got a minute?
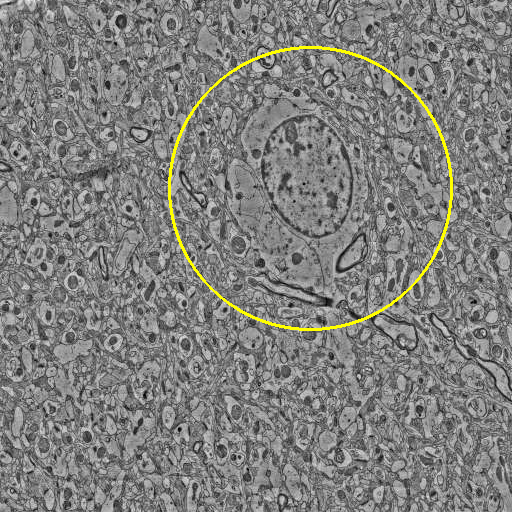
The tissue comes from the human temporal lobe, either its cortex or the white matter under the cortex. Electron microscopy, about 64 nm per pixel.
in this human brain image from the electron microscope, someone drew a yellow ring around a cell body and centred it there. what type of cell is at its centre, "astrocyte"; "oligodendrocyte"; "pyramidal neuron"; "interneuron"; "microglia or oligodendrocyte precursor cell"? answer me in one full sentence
It's an astrocyte at the middle of that yellow ring in the shot.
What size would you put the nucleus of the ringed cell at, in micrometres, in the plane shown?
In this plane, about 8 micrometres in length and 6 in width.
